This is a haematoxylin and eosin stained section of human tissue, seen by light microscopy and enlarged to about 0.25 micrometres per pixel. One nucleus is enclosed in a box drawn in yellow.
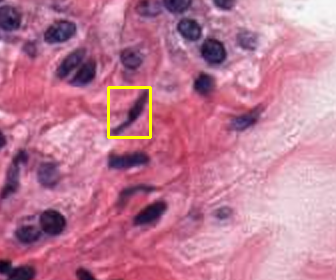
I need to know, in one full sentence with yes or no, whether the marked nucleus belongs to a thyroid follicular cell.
No, the marked nucleus is carried by a supporting cell rather than by a thyroid follicular cell.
